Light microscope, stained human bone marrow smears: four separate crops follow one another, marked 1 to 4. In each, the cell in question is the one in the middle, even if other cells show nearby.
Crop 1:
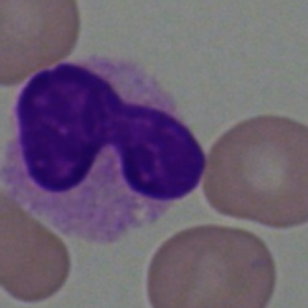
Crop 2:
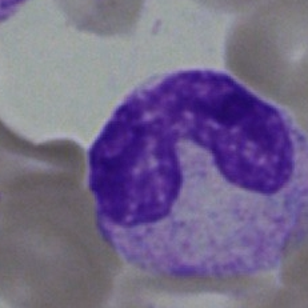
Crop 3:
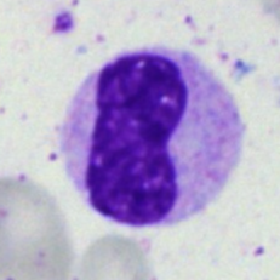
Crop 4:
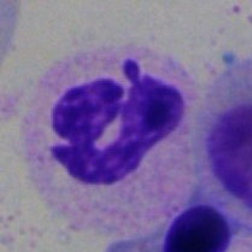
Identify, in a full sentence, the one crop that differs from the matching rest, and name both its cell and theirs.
Crop 4 differs from its companions, showing a segmented neutrophil where they show band neutrophils.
